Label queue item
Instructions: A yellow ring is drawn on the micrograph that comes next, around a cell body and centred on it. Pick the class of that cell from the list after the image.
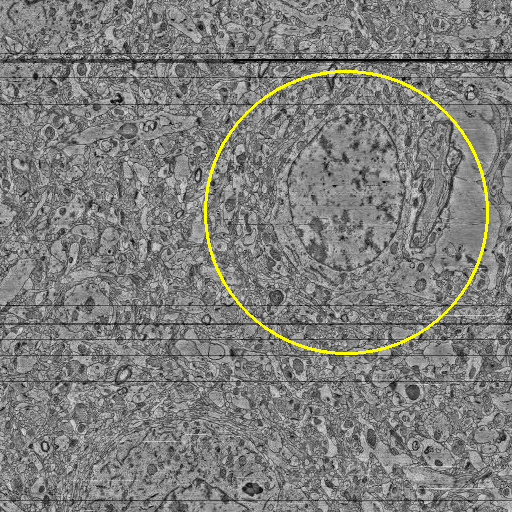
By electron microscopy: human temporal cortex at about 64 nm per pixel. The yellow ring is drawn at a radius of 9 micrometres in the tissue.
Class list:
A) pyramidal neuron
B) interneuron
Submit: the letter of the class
A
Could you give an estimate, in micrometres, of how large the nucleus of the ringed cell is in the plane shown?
About 10 by 8 micrometers, in this plane.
